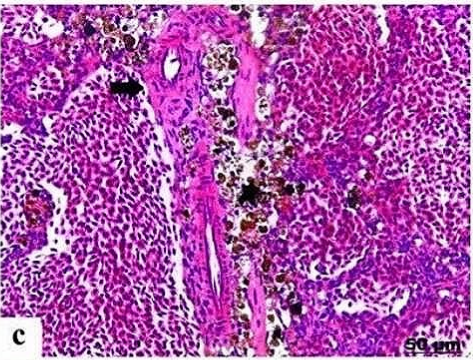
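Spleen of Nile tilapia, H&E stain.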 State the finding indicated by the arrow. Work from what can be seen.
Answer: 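Thickening of blood vessels wall. A thick band of pink-staining fibrous tissue runs vertically through the section. Narrow lumina are enclosed within the thick pink wall.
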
